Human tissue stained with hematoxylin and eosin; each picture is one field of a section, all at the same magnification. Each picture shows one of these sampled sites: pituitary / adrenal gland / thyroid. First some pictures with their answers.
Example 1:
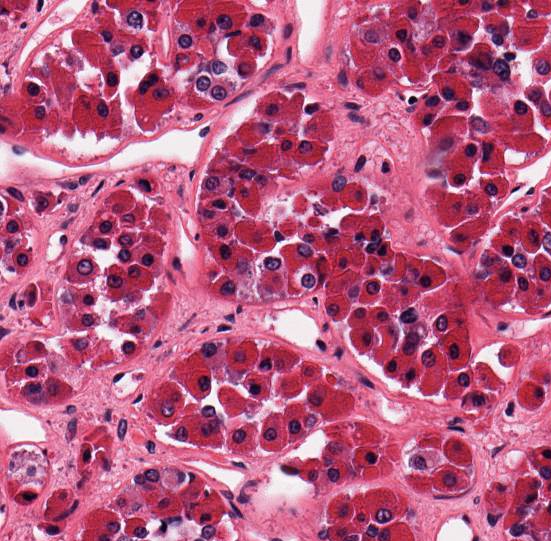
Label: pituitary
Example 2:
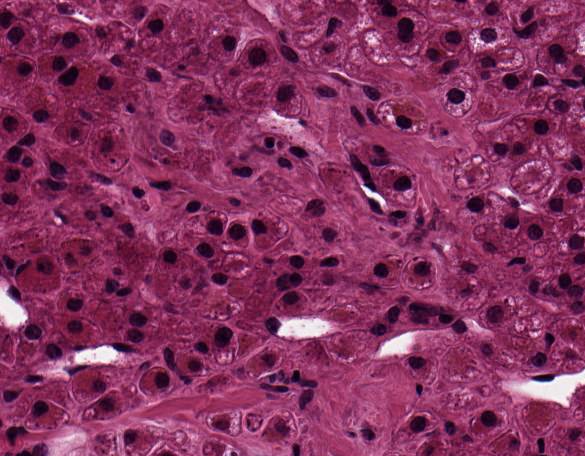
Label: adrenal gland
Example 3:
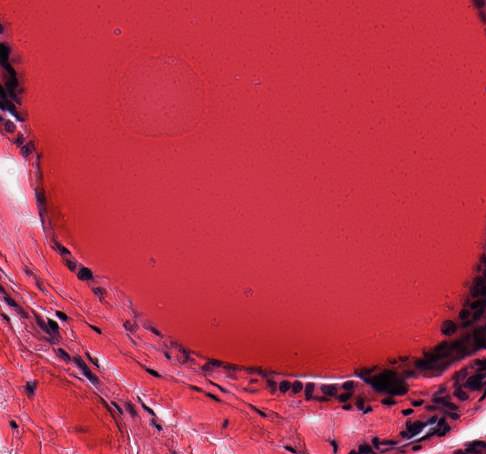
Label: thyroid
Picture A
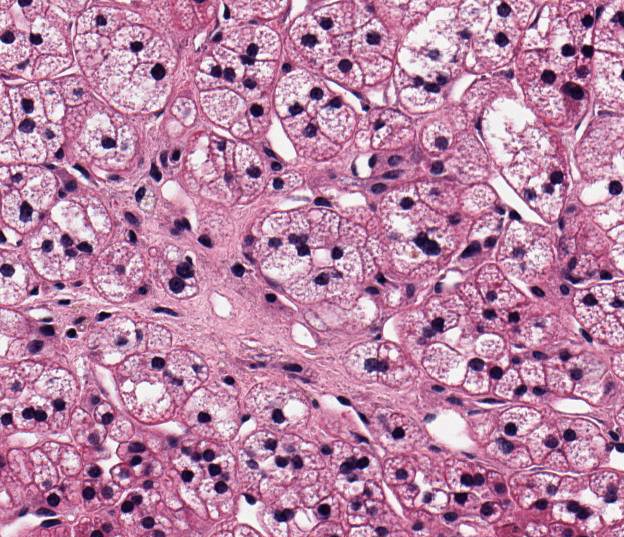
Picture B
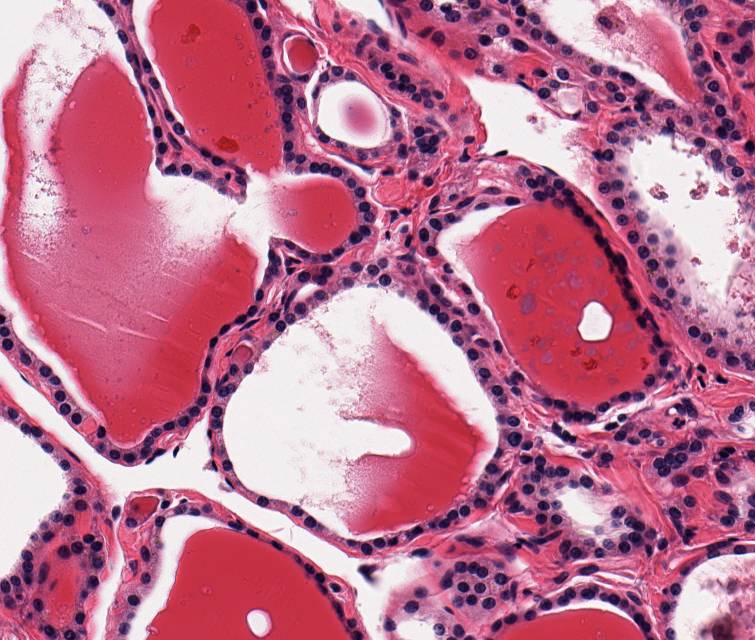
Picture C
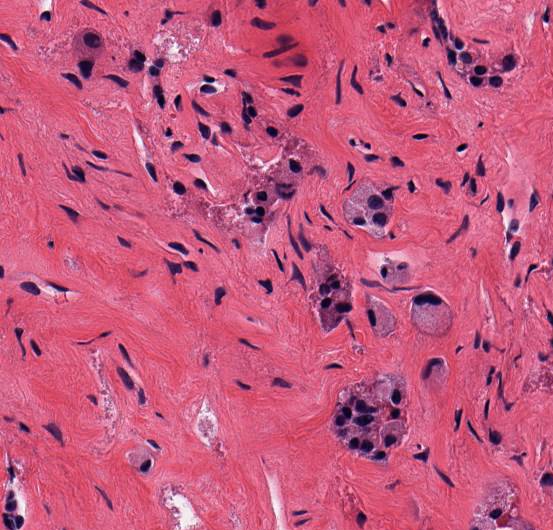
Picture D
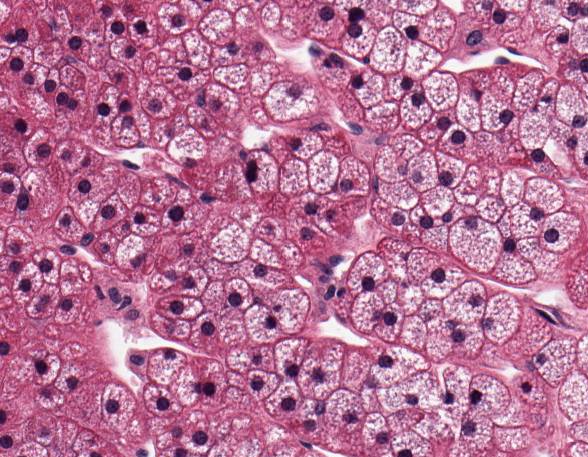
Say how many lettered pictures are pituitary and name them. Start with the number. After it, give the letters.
1, namely C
